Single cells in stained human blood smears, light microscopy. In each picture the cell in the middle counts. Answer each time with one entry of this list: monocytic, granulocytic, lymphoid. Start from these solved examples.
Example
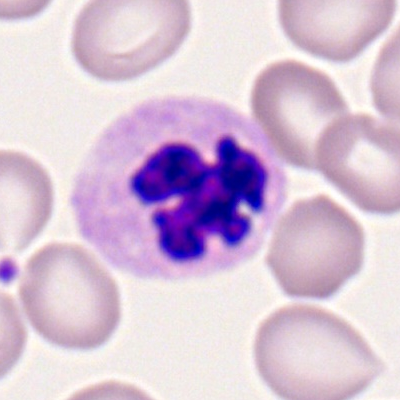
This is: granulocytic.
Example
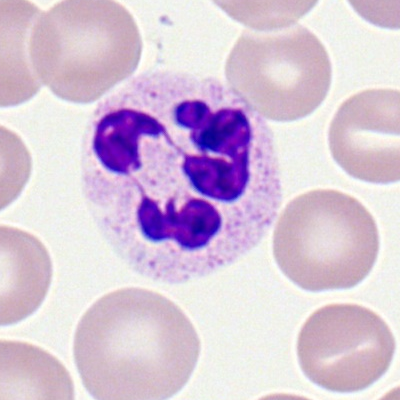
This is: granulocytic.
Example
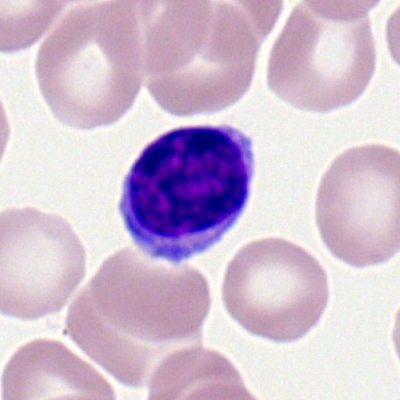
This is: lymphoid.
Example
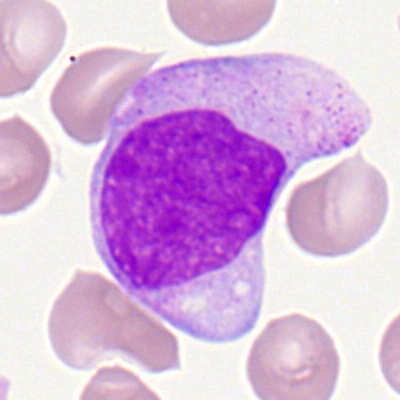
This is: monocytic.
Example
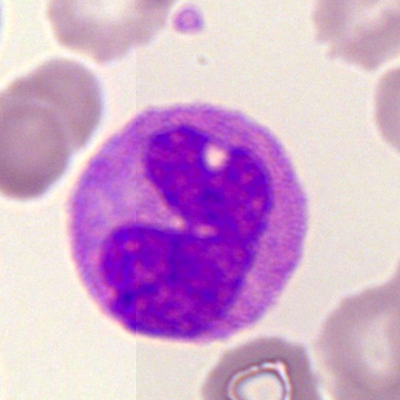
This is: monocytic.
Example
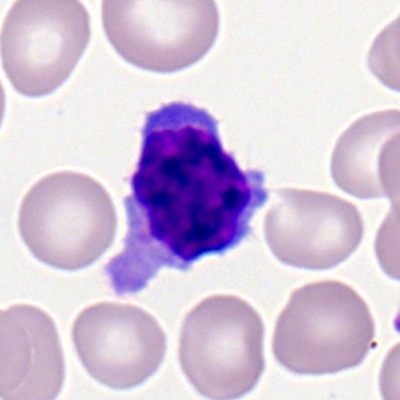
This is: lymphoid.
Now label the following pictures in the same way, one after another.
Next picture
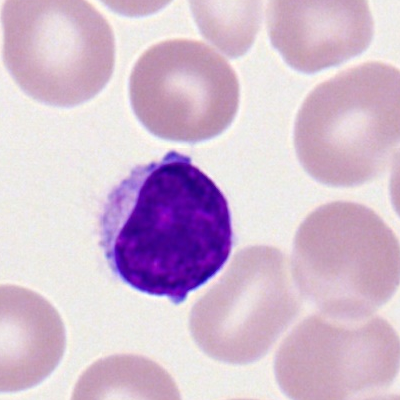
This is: lymphoid.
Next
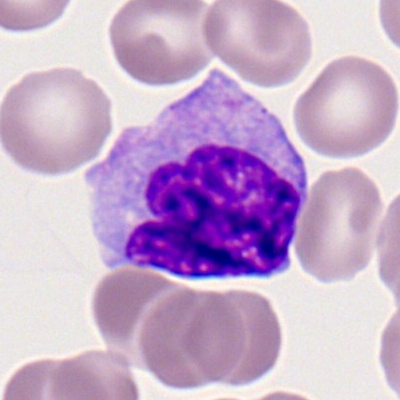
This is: monocytic.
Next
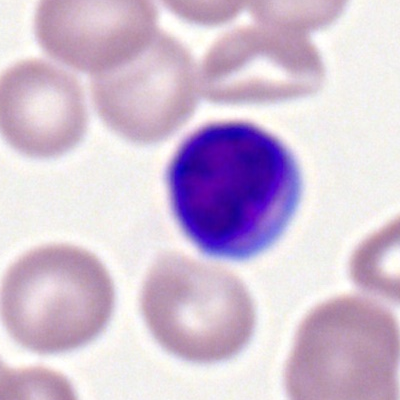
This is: lymphoid.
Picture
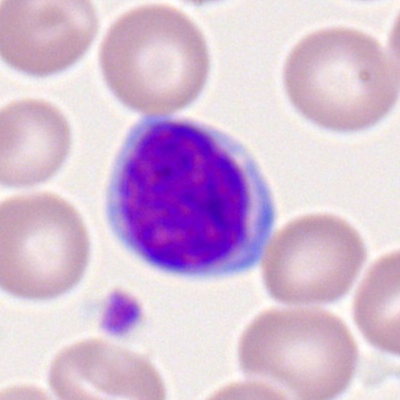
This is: lymphoid.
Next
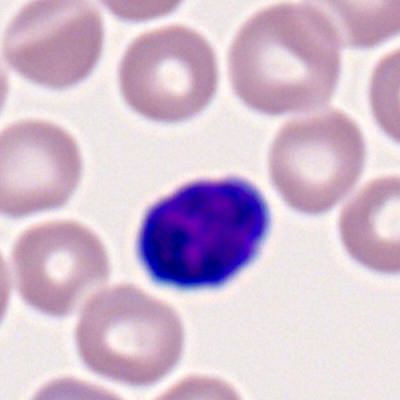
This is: lymphoid.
